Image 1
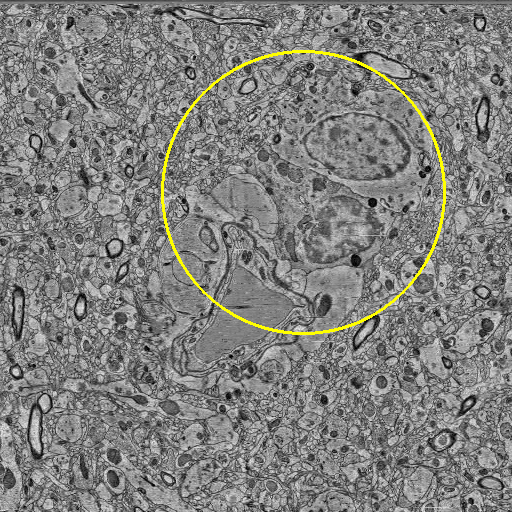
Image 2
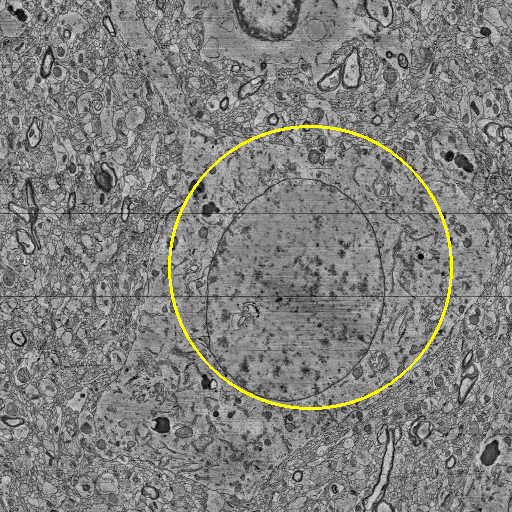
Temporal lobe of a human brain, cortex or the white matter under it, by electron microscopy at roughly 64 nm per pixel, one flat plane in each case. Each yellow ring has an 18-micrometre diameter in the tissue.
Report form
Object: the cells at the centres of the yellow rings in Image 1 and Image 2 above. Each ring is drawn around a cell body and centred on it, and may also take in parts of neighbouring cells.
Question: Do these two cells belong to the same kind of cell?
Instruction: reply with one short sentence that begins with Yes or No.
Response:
No, they belong to two kinds of cell.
